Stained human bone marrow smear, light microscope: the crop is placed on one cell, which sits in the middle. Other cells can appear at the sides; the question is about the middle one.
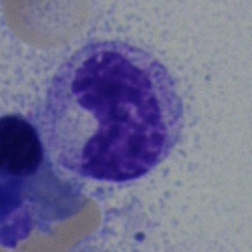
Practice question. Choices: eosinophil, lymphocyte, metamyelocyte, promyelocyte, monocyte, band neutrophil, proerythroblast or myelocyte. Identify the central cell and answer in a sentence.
The cell in the middle of this crop is a band neutrophil.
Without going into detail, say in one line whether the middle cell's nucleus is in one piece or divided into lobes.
If you check the nucleus, you will find one compact mass, round, oval or kidney-shaped.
